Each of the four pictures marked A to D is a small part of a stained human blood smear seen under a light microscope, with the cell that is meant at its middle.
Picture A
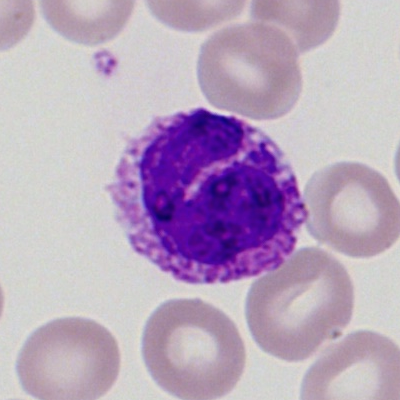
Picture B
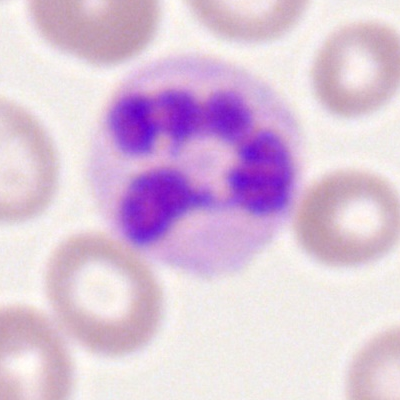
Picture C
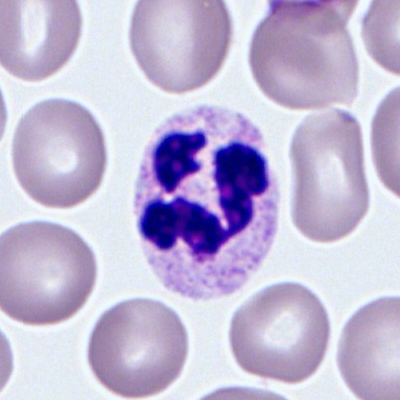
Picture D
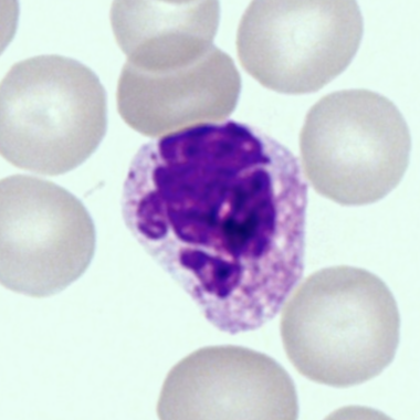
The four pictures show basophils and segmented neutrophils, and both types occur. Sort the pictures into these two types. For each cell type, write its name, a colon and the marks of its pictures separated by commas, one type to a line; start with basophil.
basophil: A, D
segmented neutrophil: B, C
